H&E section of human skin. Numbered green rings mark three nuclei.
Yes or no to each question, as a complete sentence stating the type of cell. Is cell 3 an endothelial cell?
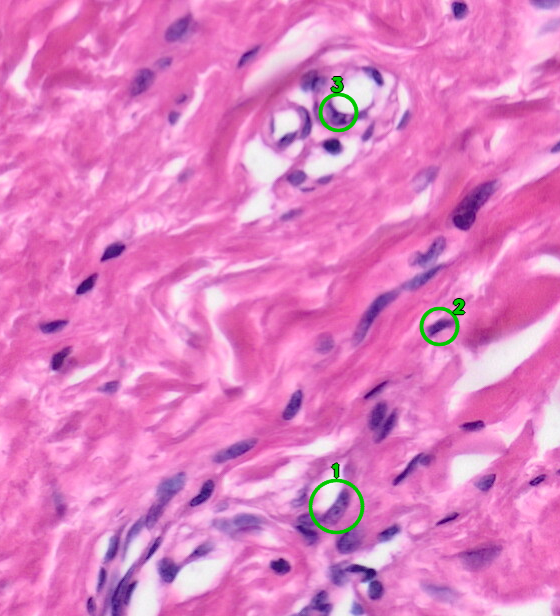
Yes, that is so; number 3 marks an endothelial cell.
